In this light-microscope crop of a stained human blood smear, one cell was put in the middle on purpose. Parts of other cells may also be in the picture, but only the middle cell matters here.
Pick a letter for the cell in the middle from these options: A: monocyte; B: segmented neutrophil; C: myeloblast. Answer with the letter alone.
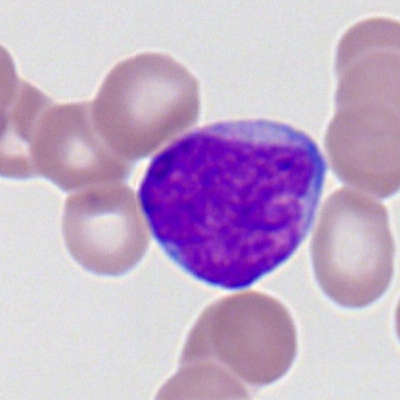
C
